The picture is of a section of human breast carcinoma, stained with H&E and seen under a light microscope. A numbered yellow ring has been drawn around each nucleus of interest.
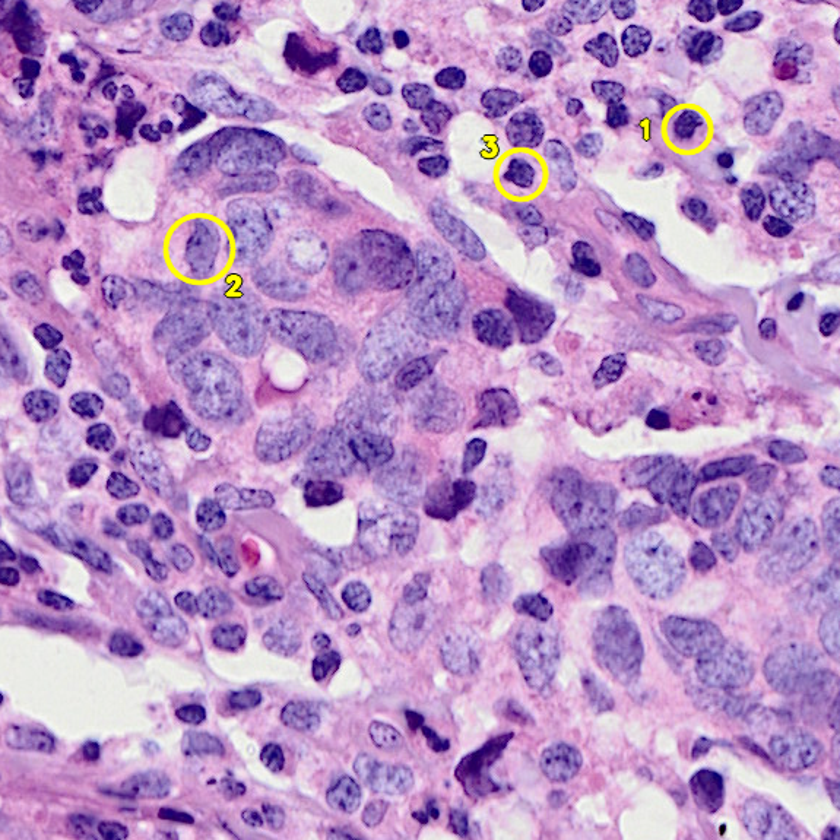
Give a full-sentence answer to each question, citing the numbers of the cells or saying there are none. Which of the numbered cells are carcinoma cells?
Only the cell carrying number 2 is a carcinoma cell.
